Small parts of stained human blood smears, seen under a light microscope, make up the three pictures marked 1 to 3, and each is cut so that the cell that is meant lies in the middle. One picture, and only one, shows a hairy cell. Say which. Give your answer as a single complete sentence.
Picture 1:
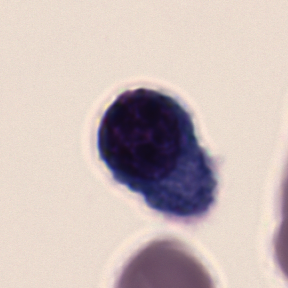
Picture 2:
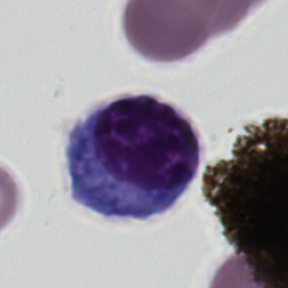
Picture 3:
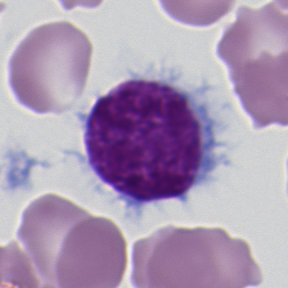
The hairy cell is the one in picture 3.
